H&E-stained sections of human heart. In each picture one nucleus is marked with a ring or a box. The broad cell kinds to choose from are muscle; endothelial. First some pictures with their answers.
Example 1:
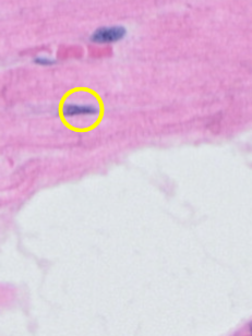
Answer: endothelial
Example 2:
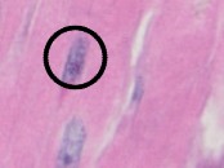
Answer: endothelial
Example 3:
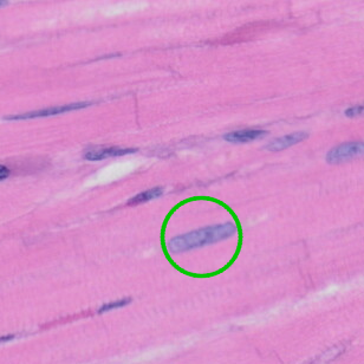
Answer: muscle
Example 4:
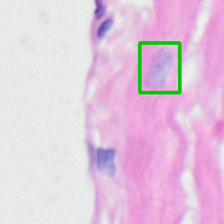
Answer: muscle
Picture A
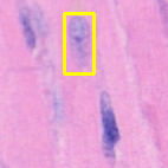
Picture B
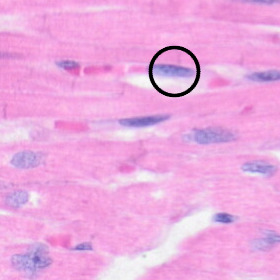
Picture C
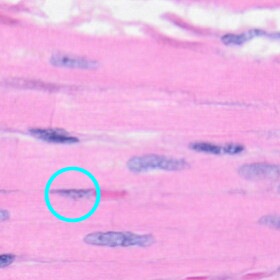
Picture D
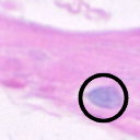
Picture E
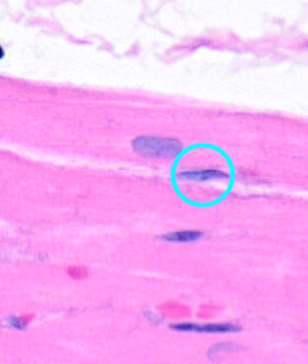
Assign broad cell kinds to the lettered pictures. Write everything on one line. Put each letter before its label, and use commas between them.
A muscle, B endothelial, C endothelial, D muscle, E endothelial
